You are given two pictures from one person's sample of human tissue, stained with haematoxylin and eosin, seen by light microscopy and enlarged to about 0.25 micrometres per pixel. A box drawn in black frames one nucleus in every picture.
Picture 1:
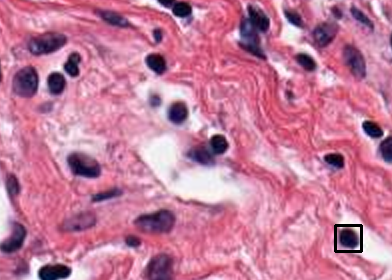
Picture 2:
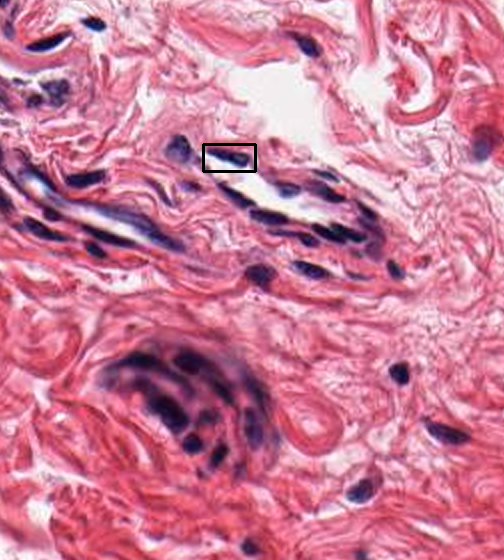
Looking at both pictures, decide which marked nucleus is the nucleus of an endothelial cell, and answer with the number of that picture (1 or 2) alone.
2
